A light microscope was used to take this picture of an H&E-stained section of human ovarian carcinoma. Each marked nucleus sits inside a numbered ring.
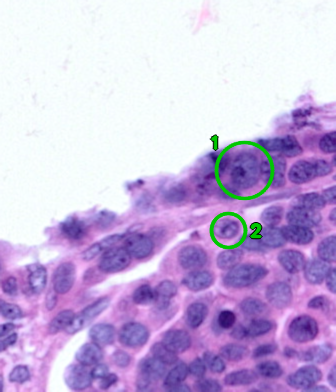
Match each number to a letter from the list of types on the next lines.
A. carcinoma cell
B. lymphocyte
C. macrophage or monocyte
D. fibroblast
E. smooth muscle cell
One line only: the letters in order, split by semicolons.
A; C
